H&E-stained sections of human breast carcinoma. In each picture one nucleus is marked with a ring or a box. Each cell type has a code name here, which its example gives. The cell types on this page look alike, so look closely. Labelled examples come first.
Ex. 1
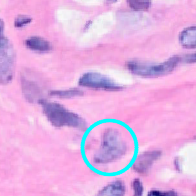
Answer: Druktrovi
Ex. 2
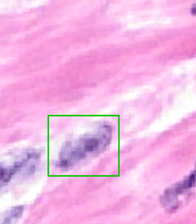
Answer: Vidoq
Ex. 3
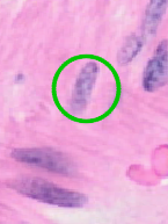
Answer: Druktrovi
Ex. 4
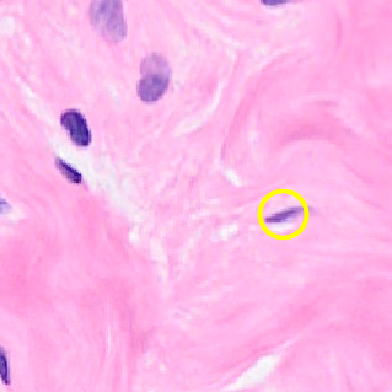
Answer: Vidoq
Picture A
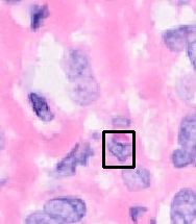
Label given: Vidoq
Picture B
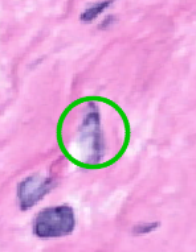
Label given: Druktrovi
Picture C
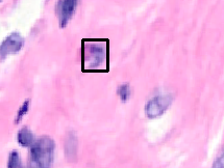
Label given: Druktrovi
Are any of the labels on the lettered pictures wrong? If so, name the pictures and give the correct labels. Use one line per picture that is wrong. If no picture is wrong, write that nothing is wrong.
Wrong: A (Vidoq); correct: Druktrovi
